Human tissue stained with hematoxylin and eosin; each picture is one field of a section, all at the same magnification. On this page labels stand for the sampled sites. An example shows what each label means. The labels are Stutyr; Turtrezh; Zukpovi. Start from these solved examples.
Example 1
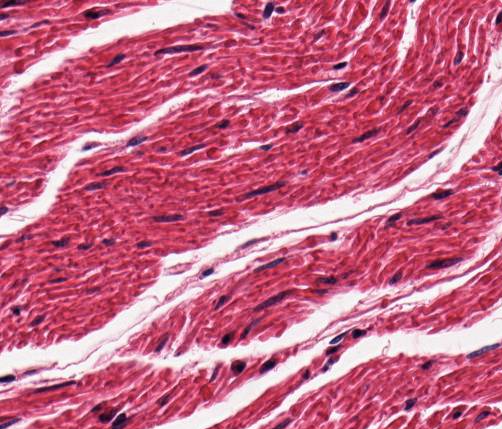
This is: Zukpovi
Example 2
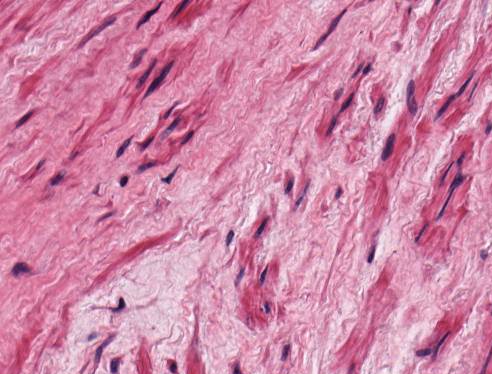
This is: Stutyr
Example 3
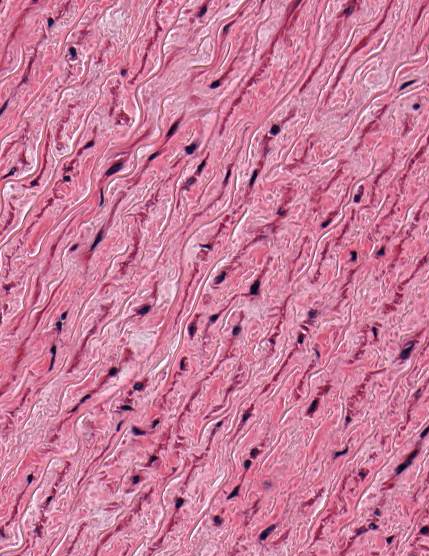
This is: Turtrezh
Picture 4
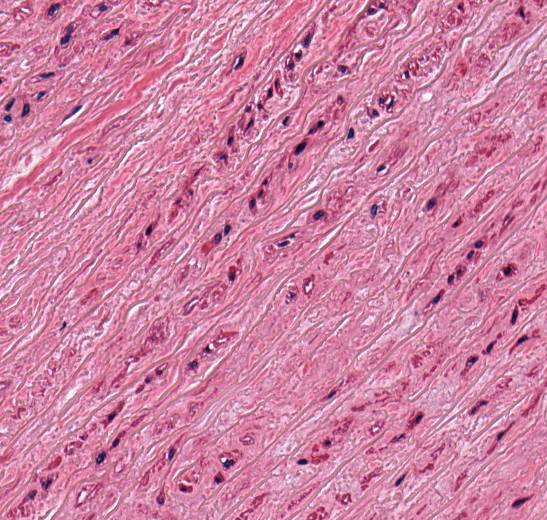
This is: Turtrezh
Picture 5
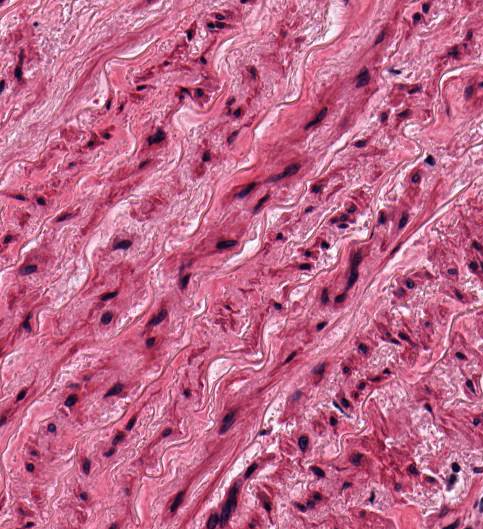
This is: Turtrezh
